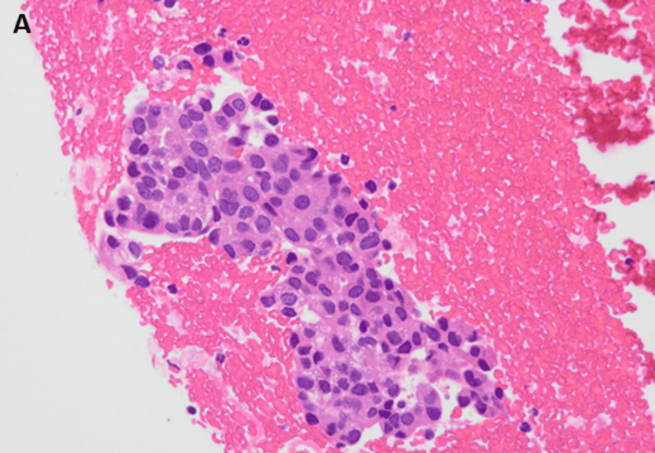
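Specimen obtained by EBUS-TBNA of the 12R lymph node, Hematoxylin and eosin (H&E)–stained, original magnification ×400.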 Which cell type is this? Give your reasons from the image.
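Adenocarcinoma cells. Cohesive clusters of epithelial cells lie in a background of red blood cells. The nuclei are enlarged, oval and crowded, some overlapping. Cells have moderate pale pink cytoplasm.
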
